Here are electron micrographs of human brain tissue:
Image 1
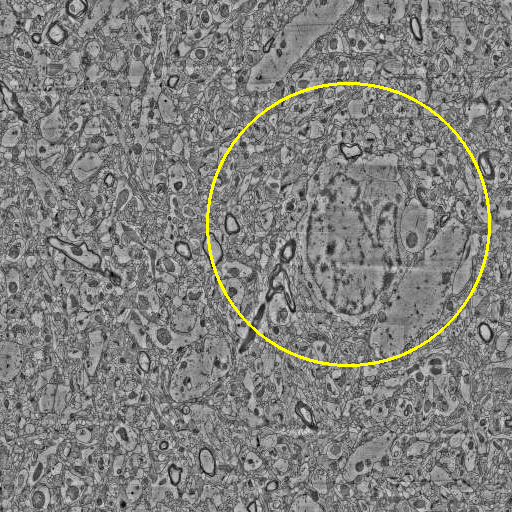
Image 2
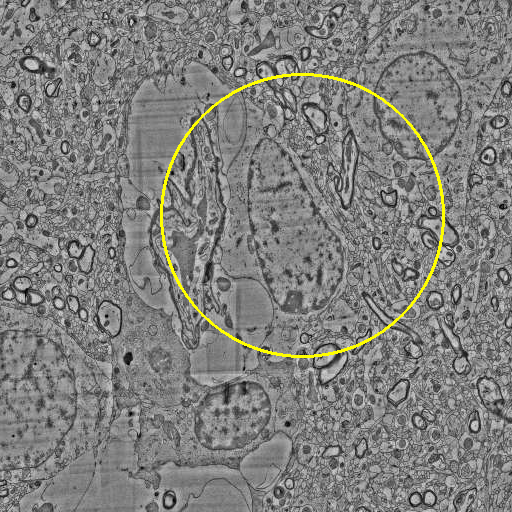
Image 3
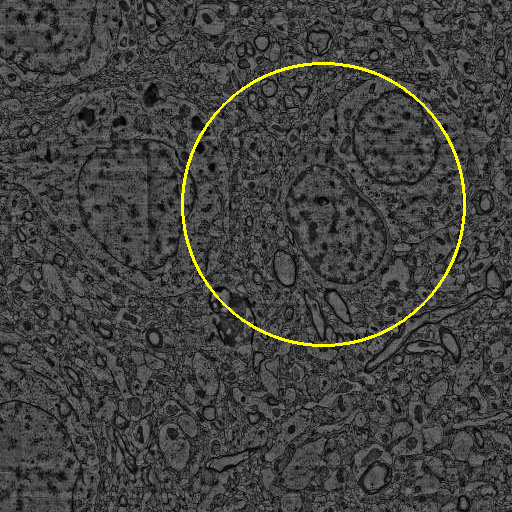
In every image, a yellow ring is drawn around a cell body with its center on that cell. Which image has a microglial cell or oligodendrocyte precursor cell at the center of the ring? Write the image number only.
2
